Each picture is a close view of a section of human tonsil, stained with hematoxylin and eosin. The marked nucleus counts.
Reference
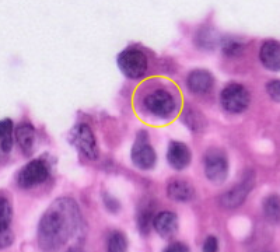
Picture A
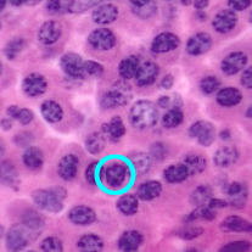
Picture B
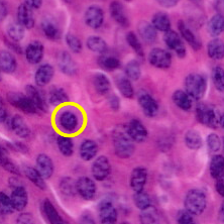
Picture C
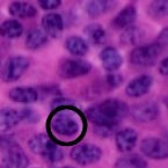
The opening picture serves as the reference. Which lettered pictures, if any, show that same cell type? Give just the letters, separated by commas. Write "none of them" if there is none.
A, B, C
